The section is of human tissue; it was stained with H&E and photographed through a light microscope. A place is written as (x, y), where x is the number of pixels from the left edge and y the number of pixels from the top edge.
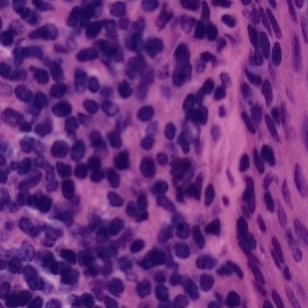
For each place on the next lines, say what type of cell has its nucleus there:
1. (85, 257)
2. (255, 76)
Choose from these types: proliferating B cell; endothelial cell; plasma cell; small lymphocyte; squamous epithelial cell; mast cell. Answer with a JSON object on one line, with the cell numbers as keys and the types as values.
{"1": "small lymphocyte", "2": "squamous epithelial cell"}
